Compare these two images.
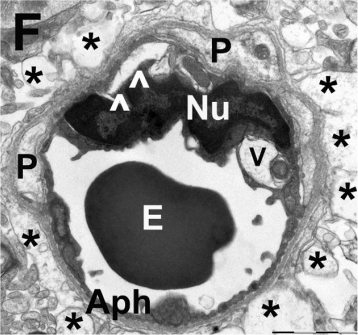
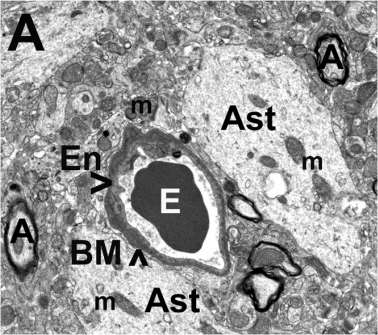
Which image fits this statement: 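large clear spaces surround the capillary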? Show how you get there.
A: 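First image: pale empty spaces ring the vessel on all sides.
The first image.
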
